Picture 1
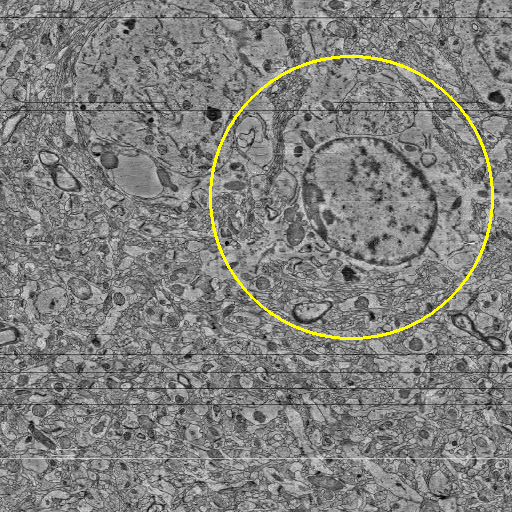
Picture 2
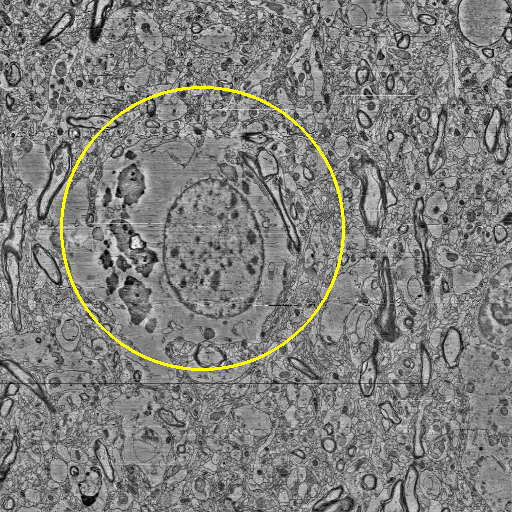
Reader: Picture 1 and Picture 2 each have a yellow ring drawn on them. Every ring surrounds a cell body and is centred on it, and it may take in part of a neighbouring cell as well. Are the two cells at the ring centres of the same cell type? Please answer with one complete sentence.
Yes, both cells are of the same cell type.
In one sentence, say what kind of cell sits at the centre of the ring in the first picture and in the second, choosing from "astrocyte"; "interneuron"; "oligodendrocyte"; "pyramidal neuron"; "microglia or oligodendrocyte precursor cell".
The ring centre holds an astrocyte in each of the two pictures.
